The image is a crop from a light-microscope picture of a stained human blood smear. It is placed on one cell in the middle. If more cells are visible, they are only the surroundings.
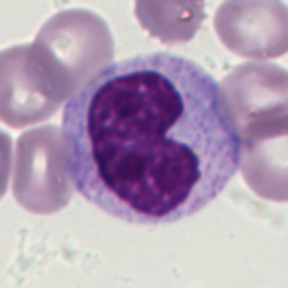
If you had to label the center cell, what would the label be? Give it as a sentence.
This particular crop is centered on a metamyelocyte.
